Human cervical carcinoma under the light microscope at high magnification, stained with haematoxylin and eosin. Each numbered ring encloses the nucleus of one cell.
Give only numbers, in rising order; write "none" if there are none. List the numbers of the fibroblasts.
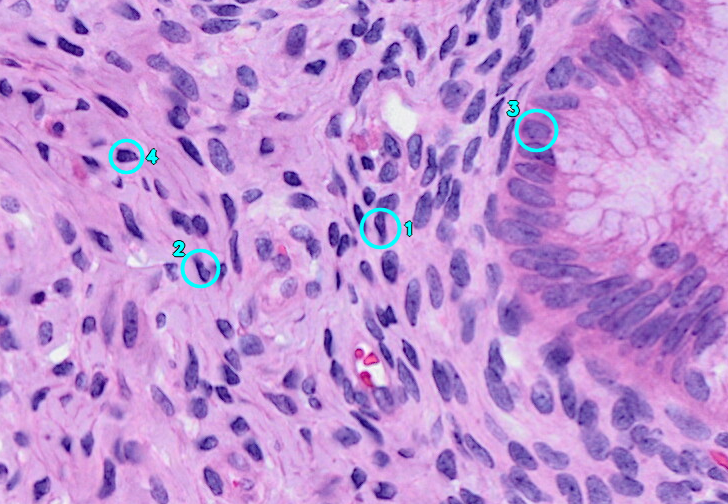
1, 2, 4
